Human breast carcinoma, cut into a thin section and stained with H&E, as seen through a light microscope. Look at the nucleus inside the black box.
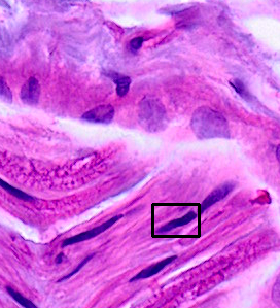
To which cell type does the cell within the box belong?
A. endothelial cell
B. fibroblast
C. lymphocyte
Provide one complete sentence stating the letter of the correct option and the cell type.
It is option B that correctly calls the cell within the box a fibroblast.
